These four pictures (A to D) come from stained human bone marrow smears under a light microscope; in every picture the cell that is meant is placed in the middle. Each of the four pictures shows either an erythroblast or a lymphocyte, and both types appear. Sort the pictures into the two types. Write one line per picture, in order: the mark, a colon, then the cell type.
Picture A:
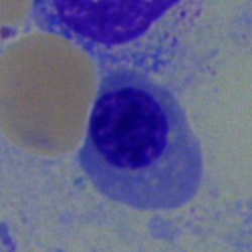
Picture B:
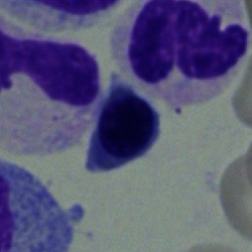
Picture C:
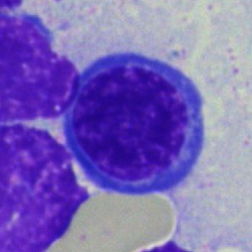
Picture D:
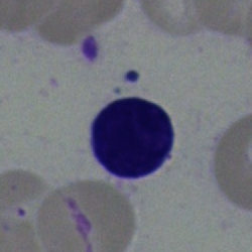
A: erythroblast
B: erythroblast
C: erythroblast
D: lymphocyte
